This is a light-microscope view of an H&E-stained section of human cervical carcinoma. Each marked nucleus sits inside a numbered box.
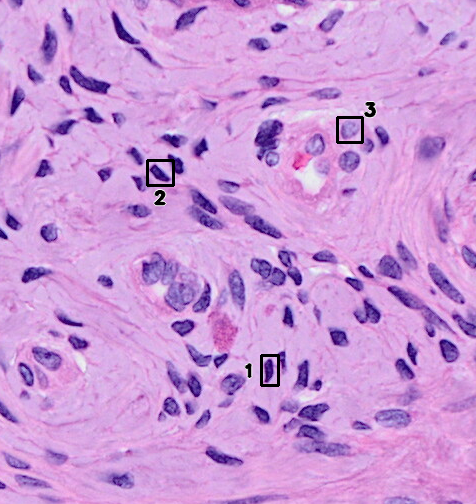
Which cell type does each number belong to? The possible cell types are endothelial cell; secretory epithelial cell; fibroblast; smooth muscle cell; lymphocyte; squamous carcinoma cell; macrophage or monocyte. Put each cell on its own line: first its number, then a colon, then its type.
1: fibroblast
2: fibroblast
3: smooth muscle cell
